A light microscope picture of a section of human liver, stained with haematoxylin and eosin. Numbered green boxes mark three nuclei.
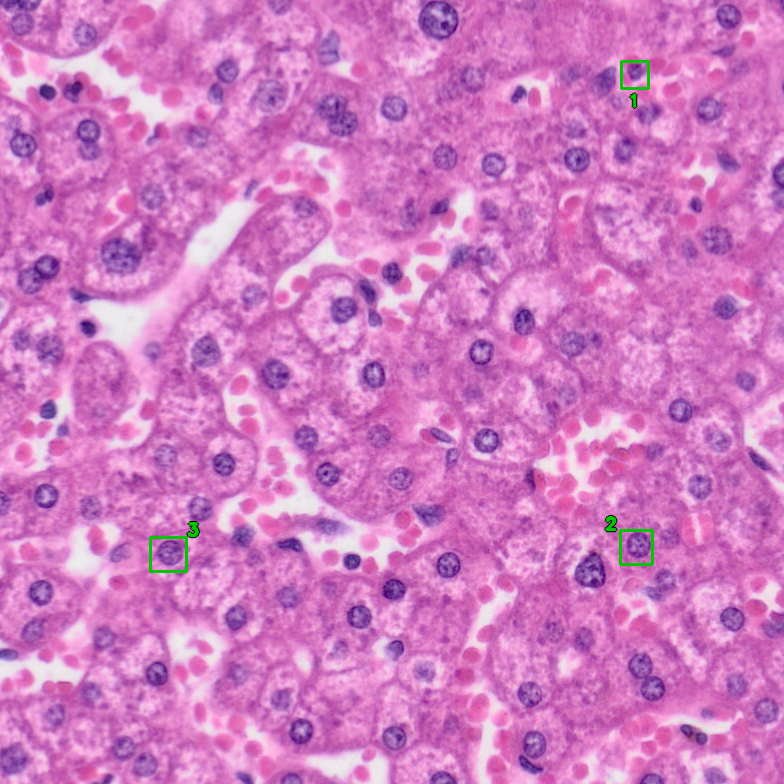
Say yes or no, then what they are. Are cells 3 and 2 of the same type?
Yes, just like cell 3, cell 2 is one of the hepatocytes.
